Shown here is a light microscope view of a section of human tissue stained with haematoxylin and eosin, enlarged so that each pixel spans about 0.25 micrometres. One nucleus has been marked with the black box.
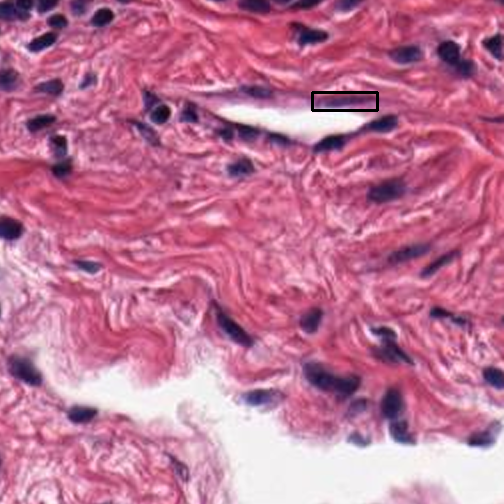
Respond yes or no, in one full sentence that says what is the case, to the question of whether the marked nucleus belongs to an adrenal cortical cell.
No, it is not an adrenal cortical cell that owns the marked nucleus but a supporting cell.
